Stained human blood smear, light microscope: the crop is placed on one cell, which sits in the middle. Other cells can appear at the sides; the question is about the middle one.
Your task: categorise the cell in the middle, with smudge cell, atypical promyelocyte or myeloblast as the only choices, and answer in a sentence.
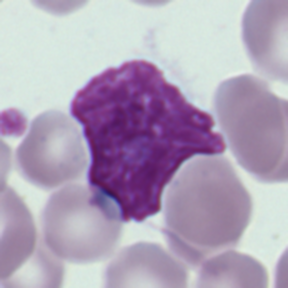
The center cell of this crop is a smudge cell.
